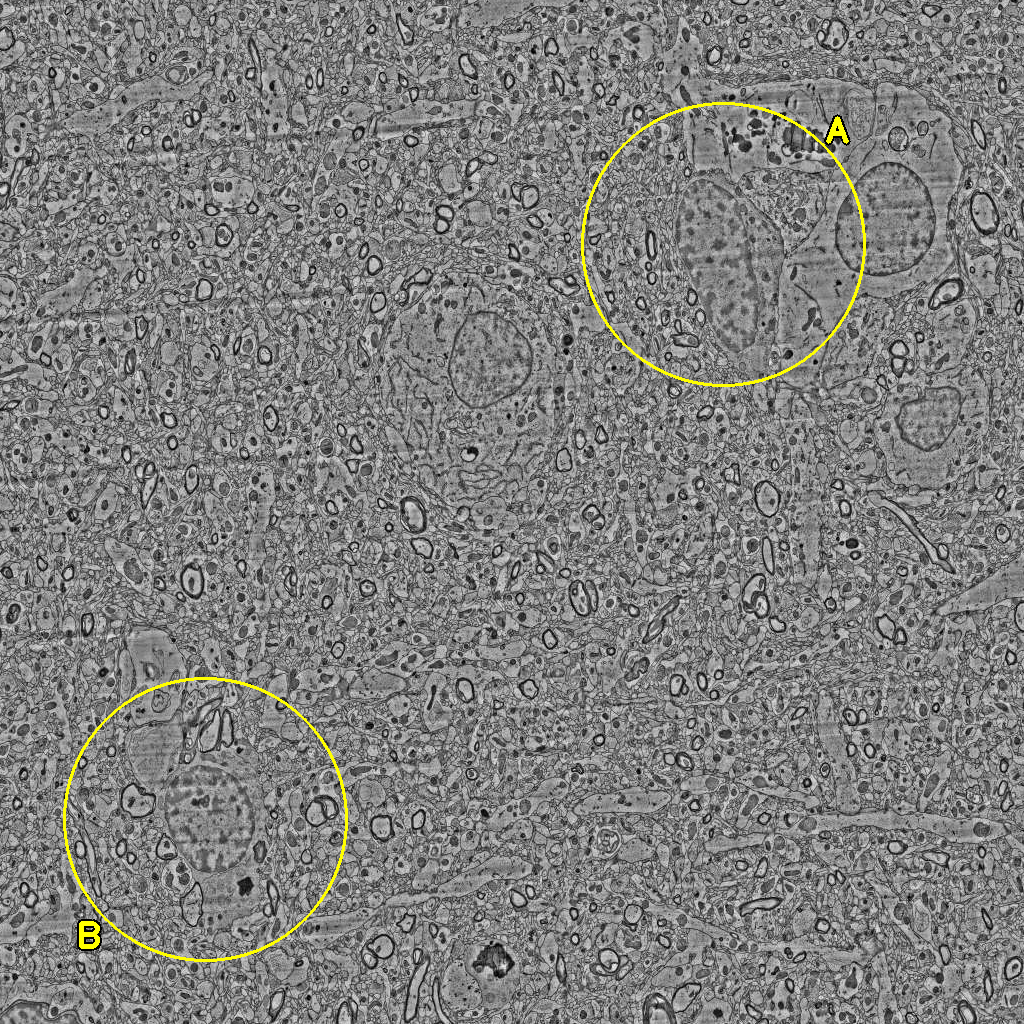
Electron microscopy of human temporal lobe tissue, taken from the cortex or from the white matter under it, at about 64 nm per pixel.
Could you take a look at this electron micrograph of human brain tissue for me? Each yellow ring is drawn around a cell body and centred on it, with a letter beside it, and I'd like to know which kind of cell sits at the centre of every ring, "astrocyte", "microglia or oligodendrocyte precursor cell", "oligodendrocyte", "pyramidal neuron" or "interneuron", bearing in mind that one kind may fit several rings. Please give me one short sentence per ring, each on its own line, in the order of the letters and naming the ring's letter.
Ring A is centred on an oligodendrocyte.
Ring B is centred on an oligodendrocyte.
